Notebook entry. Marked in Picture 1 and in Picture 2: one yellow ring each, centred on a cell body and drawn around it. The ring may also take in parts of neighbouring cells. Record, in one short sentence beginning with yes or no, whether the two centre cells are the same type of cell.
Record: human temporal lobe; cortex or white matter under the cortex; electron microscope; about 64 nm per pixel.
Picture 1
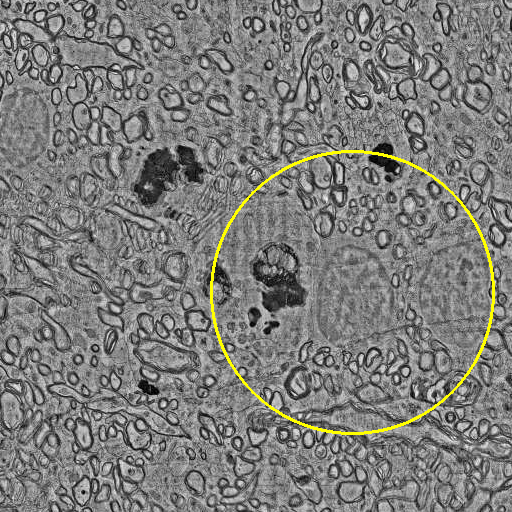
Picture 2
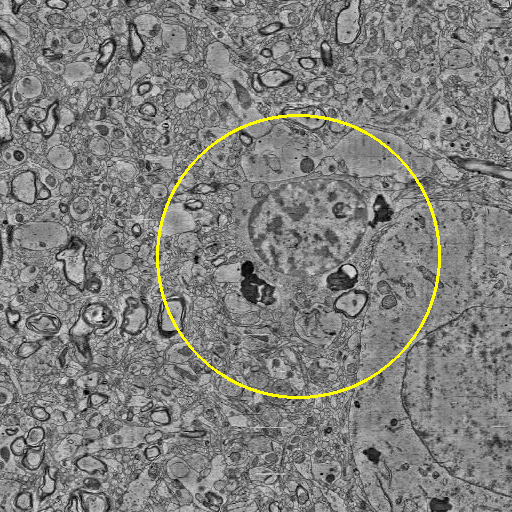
Yes, both are the same type of cell.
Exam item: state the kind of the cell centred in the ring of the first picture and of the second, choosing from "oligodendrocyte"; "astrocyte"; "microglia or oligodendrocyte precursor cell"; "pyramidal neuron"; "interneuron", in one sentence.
Each cell, in the first picture and the second, is an oligodendrocyte.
